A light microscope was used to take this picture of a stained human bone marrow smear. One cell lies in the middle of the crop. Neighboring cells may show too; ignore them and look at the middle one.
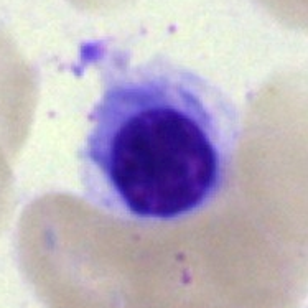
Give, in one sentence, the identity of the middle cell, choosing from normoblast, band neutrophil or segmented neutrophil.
Looking at the middle of the crop, the cell there is a normoblast.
